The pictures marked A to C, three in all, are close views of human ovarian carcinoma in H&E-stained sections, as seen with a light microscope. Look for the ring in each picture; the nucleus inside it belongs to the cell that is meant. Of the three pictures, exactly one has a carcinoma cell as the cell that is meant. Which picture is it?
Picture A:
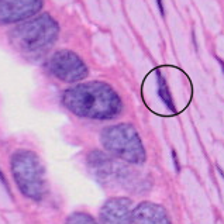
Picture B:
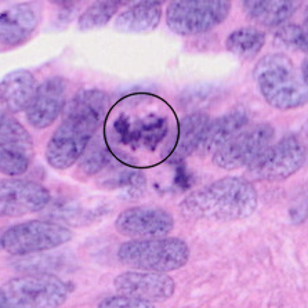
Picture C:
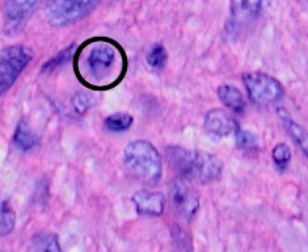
B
